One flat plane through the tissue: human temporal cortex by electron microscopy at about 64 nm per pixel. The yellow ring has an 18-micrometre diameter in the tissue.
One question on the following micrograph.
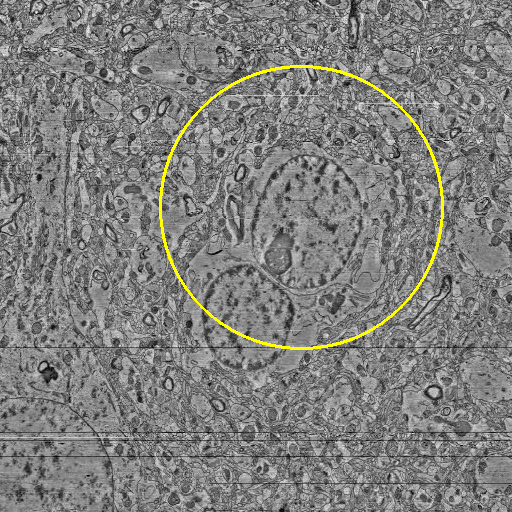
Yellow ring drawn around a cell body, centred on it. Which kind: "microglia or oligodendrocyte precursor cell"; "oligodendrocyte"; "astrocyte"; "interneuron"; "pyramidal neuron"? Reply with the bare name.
astrocyte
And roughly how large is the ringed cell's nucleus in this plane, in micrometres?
The nucleus appears roughly 9 by 7 micrometres in this plane.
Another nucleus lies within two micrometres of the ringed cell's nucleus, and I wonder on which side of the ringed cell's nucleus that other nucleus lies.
The other one is to the lower left of it.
